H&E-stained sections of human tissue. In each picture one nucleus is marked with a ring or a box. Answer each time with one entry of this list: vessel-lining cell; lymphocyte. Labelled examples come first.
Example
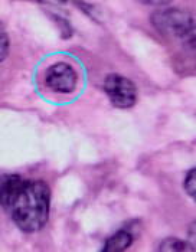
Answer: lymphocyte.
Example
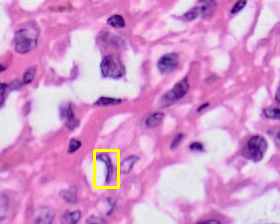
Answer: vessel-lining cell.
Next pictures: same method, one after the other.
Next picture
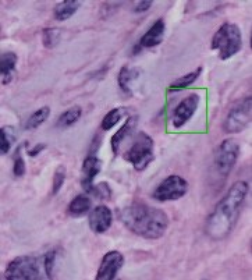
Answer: lymphocyte.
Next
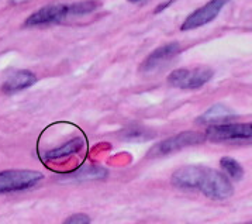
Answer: vessel-lining cell.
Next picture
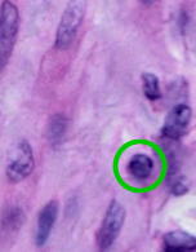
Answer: lymphocyte.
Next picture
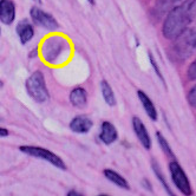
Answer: vessel-lining cell.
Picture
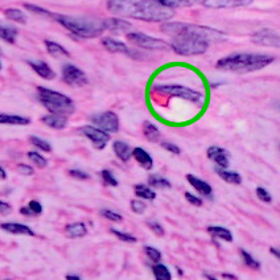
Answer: vessel-lining cell.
